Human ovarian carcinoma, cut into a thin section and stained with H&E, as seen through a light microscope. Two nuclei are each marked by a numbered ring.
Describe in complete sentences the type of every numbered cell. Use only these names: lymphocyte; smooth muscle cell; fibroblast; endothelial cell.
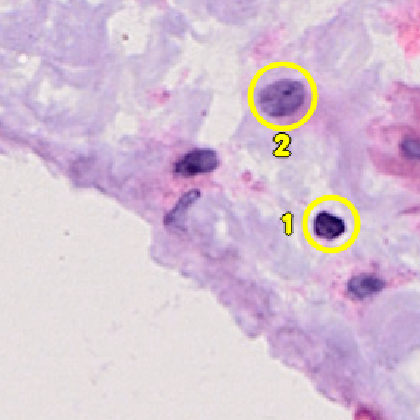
Cell 1 is a lymphocyte. Cell 2 is a fibroblast.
